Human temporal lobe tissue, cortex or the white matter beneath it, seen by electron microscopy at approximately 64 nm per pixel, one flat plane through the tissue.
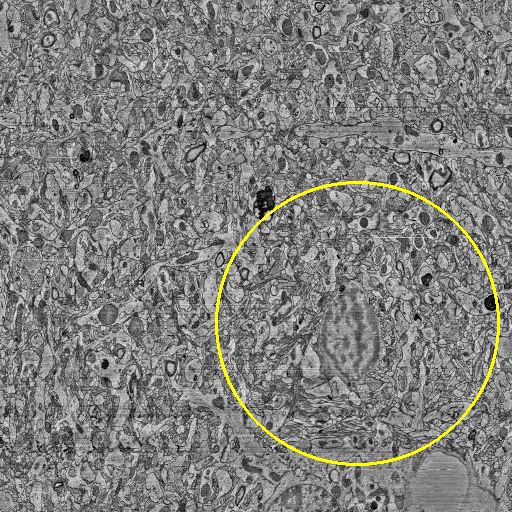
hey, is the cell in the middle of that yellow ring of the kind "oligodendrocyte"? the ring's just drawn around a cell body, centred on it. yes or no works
yes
